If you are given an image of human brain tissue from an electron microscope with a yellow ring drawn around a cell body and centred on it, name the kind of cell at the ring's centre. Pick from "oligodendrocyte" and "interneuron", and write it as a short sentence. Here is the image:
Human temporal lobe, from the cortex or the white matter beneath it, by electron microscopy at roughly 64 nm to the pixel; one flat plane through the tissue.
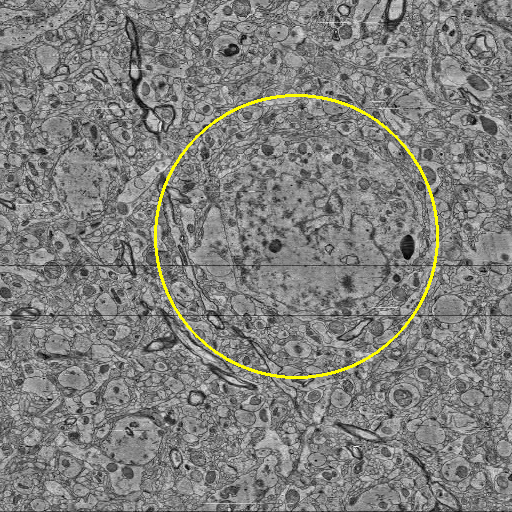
The cell at the ring's centre is an interneuron.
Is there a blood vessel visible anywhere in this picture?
No.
